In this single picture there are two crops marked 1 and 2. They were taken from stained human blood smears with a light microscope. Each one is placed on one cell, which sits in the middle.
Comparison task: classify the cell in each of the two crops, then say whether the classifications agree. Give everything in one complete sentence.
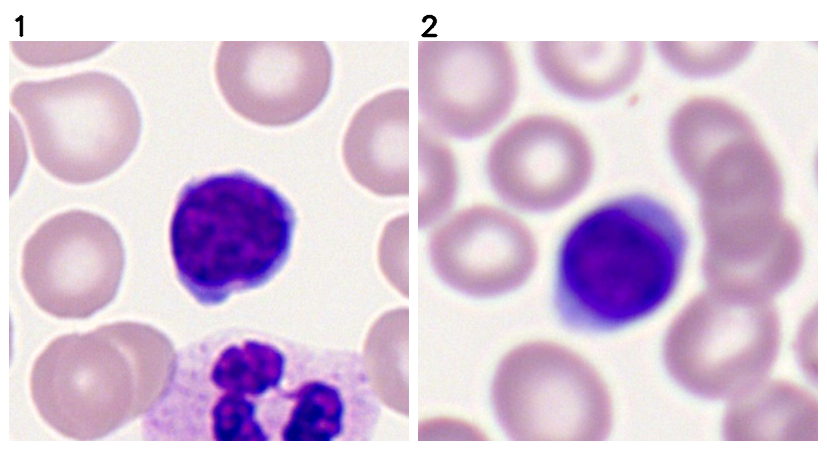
Yes, in both of the crops, the central cells are lymphocytes.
